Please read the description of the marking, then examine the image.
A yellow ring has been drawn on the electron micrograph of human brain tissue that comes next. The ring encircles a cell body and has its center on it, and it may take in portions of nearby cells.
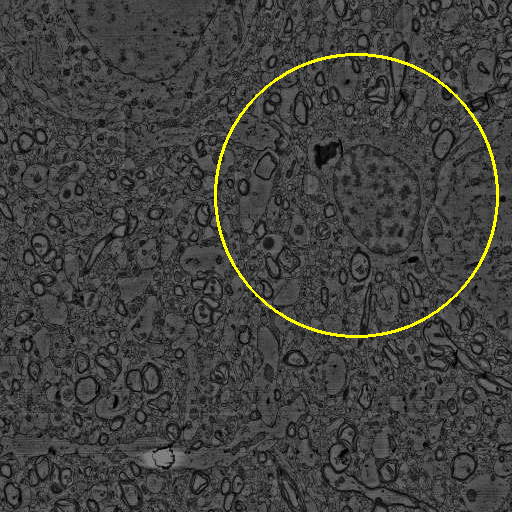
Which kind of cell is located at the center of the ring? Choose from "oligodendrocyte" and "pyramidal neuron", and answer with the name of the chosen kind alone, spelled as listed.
oligodendrocyte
